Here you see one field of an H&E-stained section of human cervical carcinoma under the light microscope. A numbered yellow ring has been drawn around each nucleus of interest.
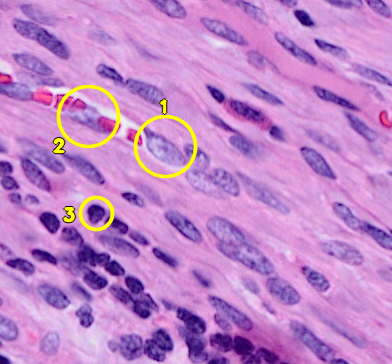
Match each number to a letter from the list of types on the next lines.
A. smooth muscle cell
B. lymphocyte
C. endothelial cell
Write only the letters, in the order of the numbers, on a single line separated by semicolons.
C; C; B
